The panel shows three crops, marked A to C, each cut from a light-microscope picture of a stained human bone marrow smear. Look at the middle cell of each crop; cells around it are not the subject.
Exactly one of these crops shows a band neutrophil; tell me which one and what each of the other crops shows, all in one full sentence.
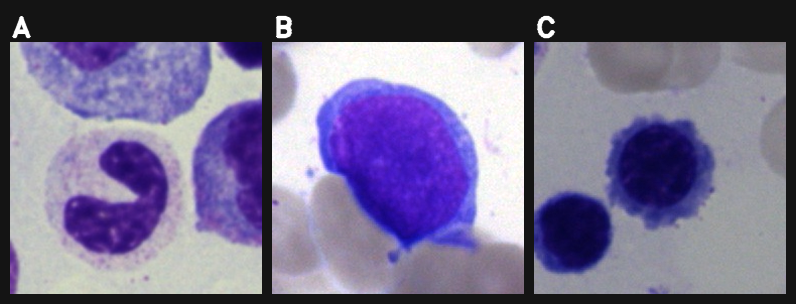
So crop A shows a band neutrophil, while crop B is a blast and crop C is an erythroblast.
